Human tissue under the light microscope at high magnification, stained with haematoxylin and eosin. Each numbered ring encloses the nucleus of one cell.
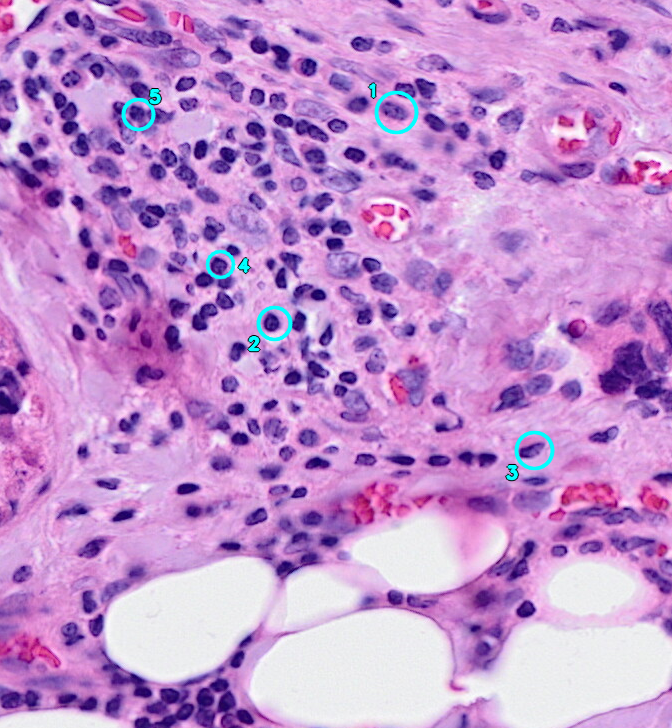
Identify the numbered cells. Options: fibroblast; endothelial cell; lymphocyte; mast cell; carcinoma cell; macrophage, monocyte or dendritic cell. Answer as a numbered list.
1. mast cell
2. lymphocyte
3. mast cell
4. lymphocyte
5. lymphocyte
